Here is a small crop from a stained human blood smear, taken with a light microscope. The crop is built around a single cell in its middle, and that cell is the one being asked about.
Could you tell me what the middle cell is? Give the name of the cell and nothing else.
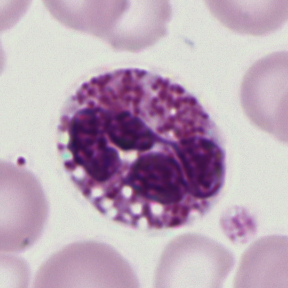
eosinophil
